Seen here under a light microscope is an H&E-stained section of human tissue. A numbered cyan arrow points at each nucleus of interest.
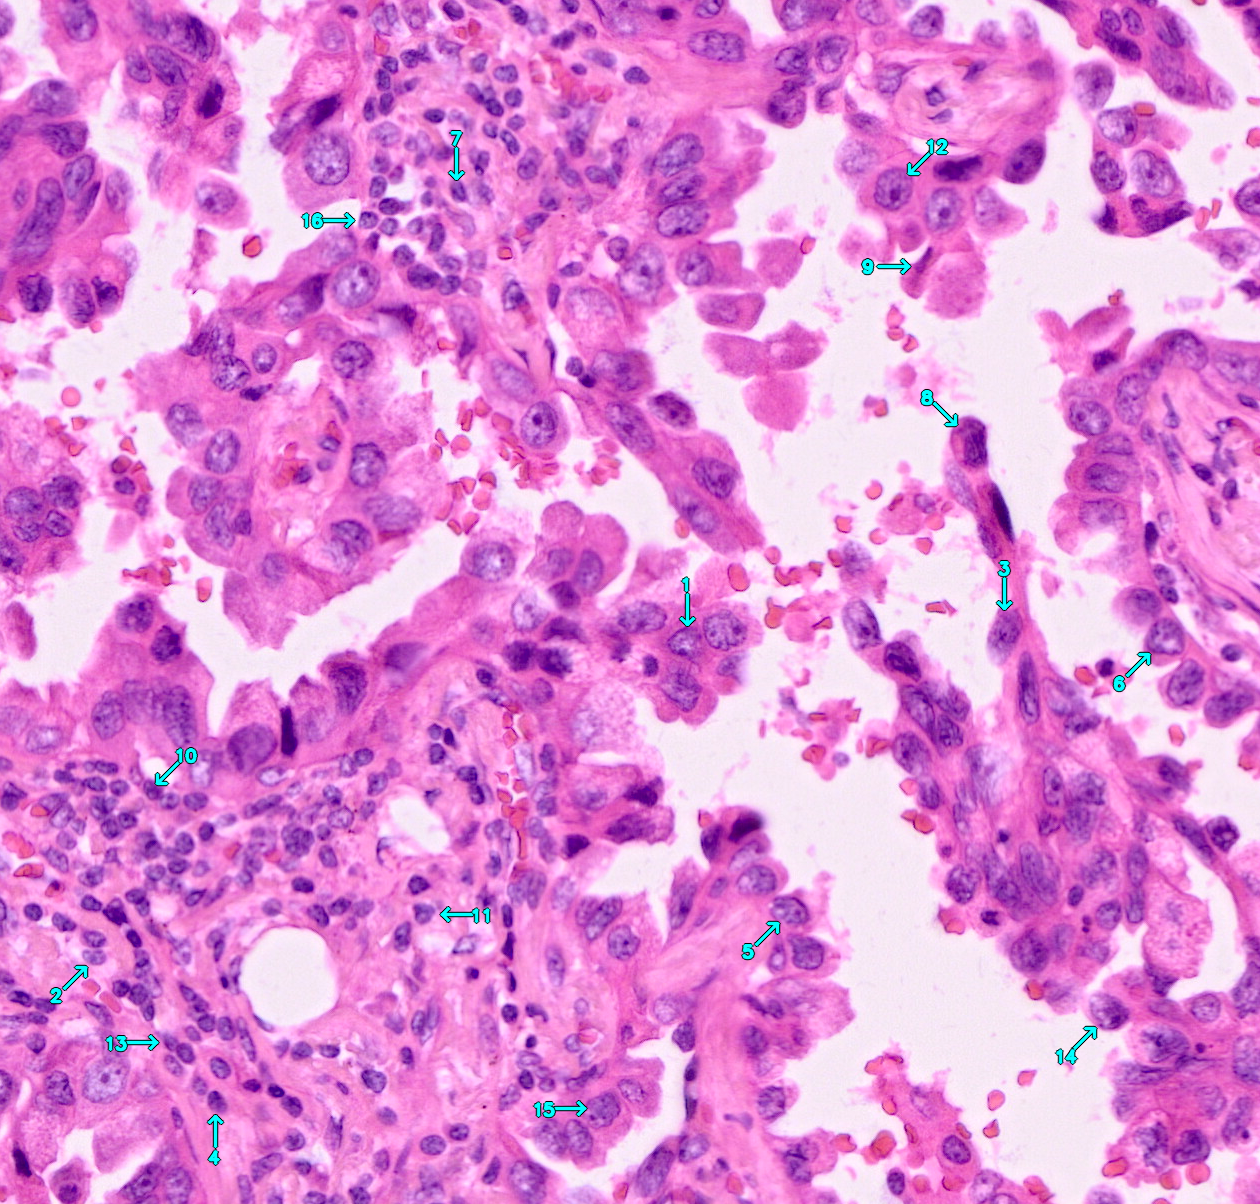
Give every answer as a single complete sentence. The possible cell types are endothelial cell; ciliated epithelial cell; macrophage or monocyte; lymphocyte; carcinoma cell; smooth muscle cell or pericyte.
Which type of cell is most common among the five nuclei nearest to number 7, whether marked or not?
Most of the five nuclei nearest to number 7 are those of lymphocytes.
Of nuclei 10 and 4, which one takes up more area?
Number 4 is larger; its area is about 2 times that of number 10.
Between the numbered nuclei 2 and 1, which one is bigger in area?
It is nucleus 1, which covers about 4 times the area of nucleus 2.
